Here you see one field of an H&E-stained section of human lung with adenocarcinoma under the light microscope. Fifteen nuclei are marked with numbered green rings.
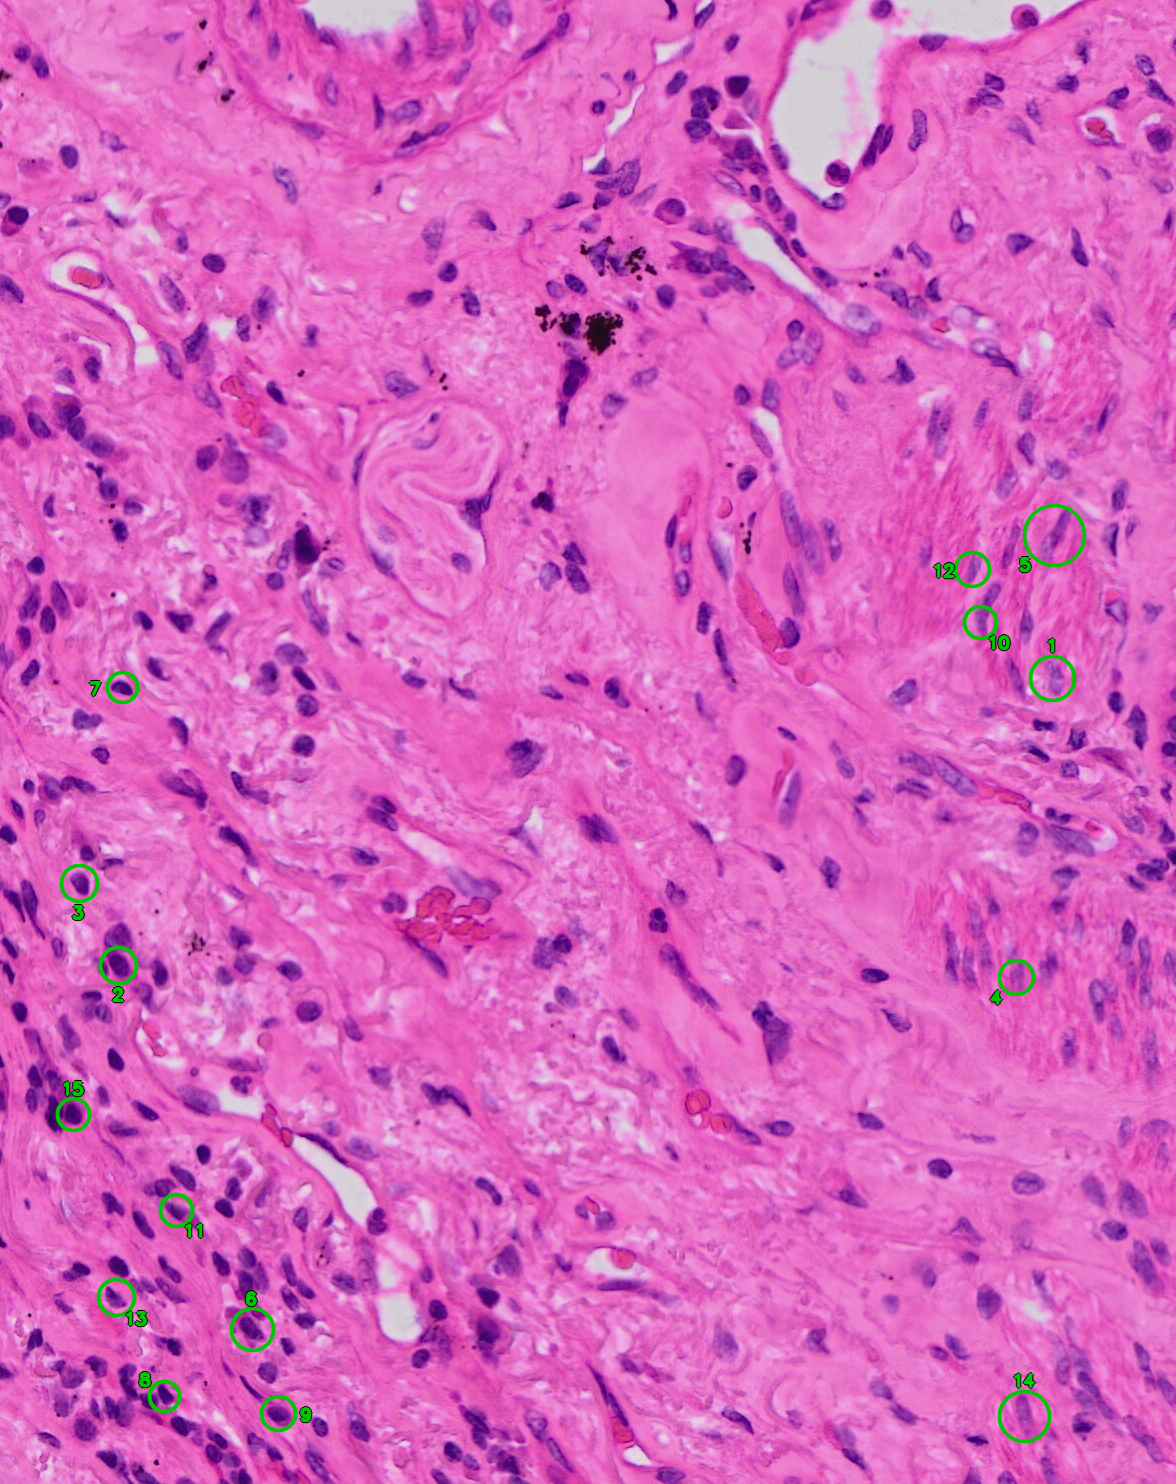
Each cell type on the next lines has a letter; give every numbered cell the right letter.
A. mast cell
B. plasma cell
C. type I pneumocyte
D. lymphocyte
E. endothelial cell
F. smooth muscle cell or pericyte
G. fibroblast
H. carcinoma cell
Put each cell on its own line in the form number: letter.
1: F
2: B
3: D
4: F
5: F
6: B
7: D
8: D
9: B
10: F
11: B
12: F
13: D
14: F
15: B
